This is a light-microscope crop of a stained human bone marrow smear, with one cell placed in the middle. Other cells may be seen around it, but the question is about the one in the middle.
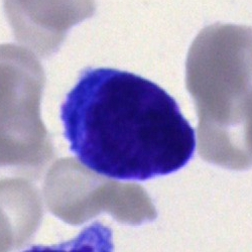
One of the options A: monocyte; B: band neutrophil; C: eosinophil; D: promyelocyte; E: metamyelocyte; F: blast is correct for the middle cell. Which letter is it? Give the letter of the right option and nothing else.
F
